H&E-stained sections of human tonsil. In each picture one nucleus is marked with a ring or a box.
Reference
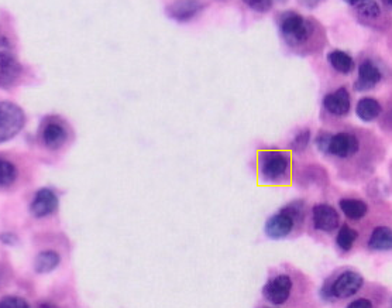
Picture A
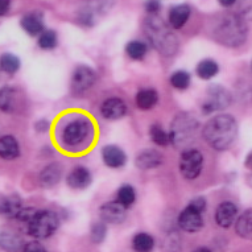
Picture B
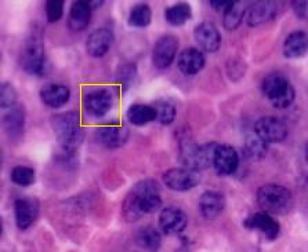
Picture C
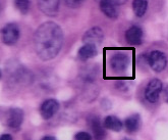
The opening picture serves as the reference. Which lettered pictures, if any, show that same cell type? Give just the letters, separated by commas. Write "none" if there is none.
A, B, C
